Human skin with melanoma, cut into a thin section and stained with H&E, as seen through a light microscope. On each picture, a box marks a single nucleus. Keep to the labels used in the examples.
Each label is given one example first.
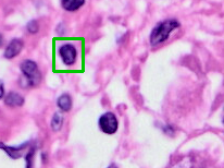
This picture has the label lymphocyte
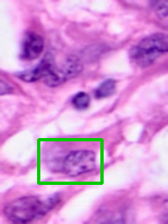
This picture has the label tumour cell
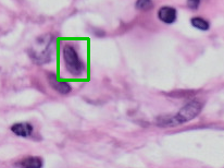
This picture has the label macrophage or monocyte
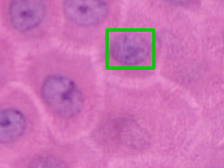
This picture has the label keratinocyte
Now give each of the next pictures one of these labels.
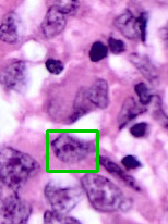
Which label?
tumour cell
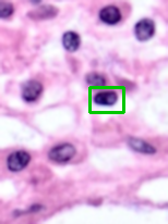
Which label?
lymphocyte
